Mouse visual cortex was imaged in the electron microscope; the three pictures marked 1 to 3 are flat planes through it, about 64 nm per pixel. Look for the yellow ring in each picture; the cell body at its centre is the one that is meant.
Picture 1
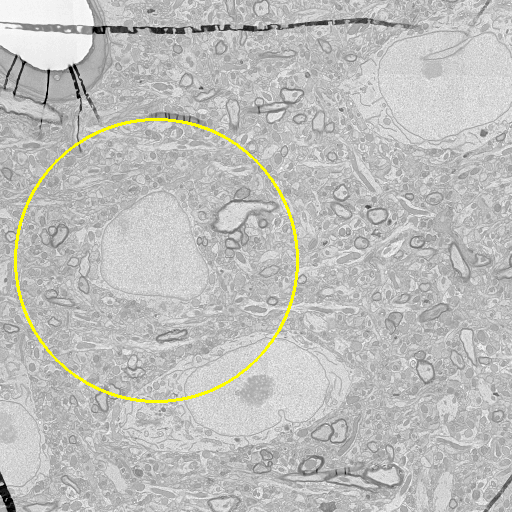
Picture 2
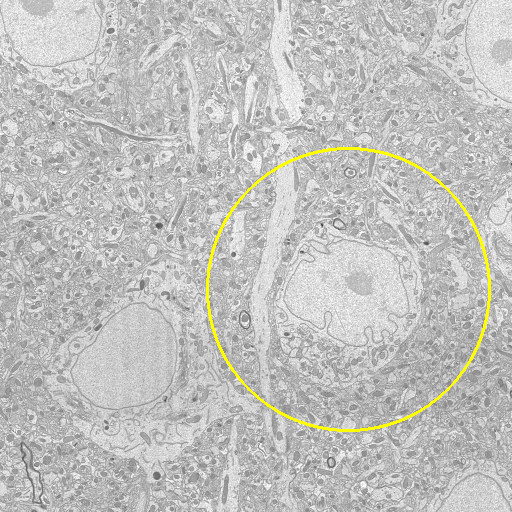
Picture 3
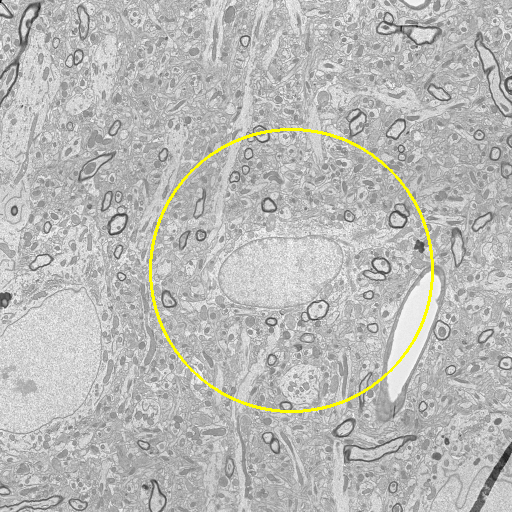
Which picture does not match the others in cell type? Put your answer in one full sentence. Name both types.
The different one is picture 2; it shows an inhibitory neuron, whereas all the others show astrocytes.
